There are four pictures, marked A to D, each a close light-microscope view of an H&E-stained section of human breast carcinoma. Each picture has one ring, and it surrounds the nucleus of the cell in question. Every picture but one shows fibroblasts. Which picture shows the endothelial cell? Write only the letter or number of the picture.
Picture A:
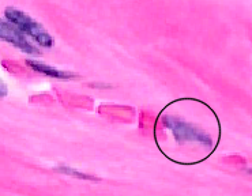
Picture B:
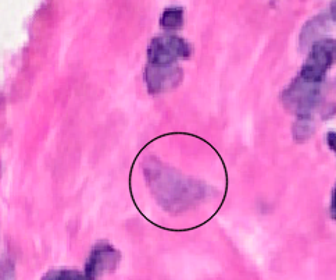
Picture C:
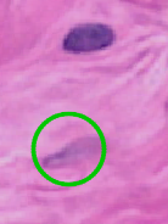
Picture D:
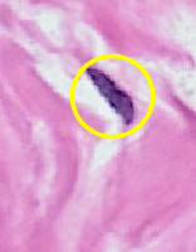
A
